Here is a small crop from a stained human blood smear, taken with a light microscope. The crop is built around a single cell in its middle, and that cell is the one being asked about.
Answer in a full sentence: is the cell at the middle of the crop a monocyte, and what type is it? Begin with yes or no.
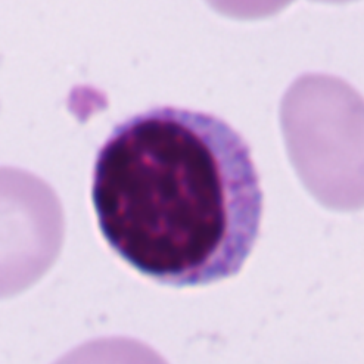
No, this is not a monocyte at all; the cell in the middle is a large granular lymphocyte.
